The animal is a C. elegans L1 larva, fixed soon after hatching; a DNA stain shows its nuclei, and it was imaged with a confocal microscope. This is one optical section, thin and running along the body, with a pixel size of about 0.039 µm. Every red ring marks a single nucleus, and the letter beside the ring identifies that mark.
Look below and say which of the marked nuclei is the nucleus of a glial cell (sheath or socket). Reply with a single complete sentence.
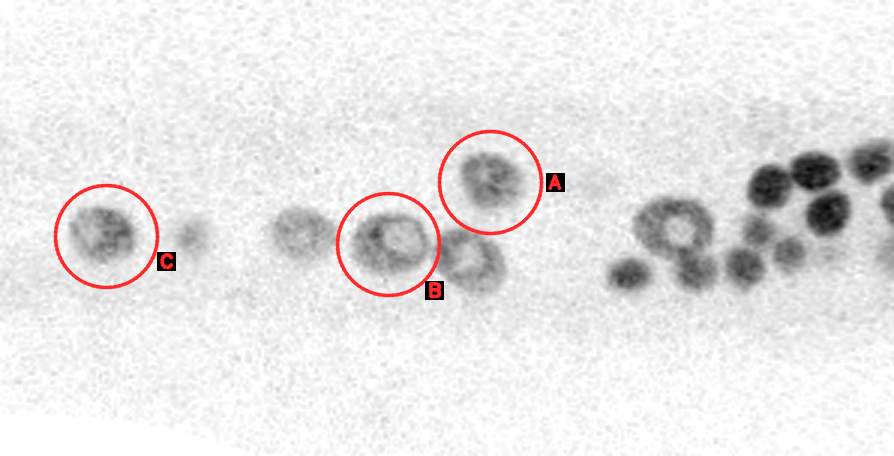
A is the one that belongs to a glial cell (sheath or socket).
